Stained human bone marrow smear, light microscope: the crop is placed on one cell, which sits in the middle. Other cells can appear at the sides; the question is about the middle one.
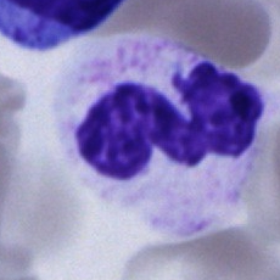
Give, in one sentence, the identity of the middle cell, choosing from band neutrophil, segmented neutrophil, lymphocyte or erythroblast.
Framed in the middle of the crop is a segmented neutrophil.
